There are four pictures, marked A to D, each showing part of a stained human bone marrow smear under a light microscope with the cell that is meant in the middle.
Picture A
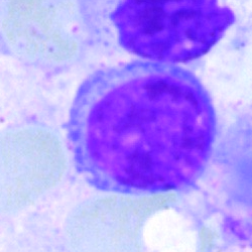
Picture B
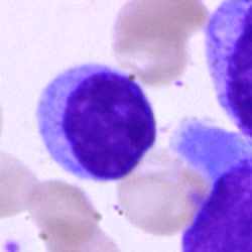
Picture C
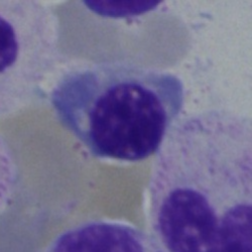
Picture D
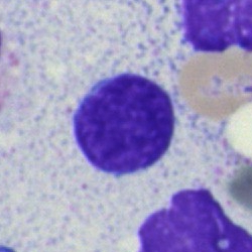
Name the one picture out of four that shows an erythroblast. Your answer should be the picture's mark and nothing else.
C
